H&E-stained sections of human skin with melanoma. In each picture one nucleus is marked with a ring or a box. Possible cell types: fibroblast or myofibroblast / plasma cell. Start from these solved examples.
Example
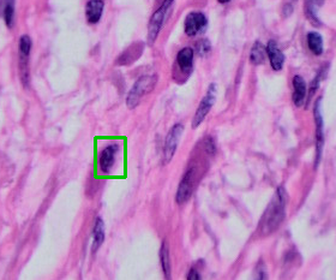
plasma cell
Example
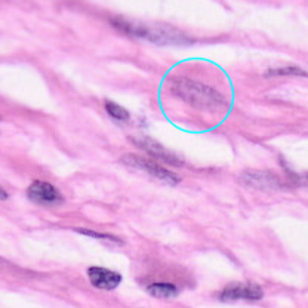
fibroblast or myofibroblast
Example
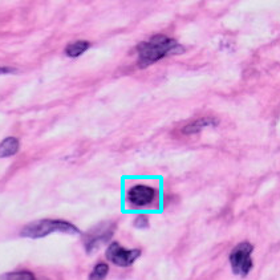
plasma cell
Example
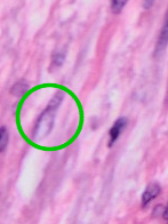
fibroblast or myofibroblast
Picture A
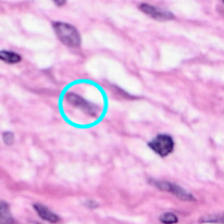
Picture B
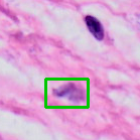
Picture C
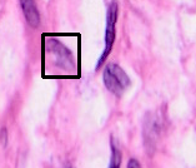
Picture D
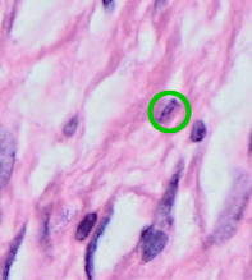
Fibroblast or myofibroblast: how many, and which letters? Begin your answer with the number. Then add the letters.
4: A, B, C, D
